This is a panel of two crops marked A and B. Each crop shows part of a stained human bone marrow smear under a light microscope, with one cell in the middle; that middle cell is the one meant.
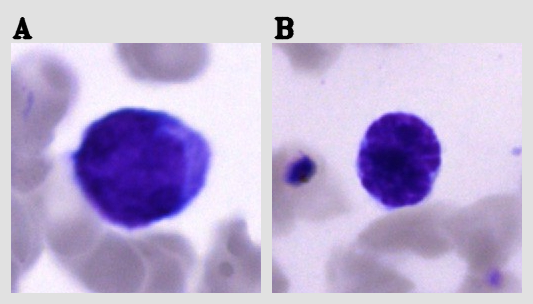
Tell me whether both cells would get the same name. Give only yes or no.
no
